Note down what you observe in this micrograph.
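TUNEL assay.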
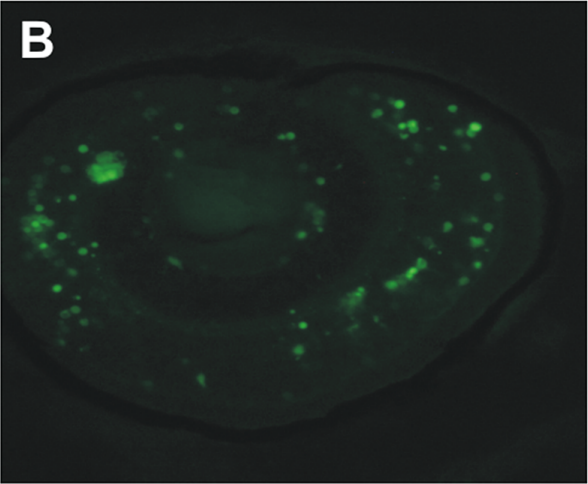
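This is a section through the eye, with a round central lens surrounded by the concentric layers of the retina and a dark outer rim. Scattered small, bright green rounded nuclei lie throughout the retinal layers, most in the outer part of the ring. In a few places they gather into small clusters, and one larger bright patch lies in the upper left of the retina. The lens itself carries only faint diffuse fluorescence.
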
